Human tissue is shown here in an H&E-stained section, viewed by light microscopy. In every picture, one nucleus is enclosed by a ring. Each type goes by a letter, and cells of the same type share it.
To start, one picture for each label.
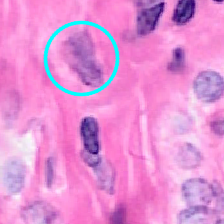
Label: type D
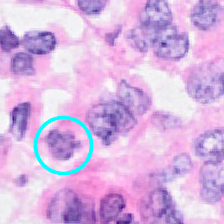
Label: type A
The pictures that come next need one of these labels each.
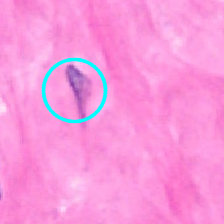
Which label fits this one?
type D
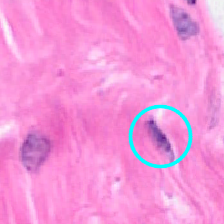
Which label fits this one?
type D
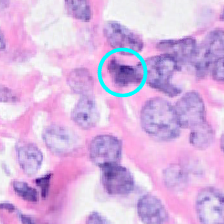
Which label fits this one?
type A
